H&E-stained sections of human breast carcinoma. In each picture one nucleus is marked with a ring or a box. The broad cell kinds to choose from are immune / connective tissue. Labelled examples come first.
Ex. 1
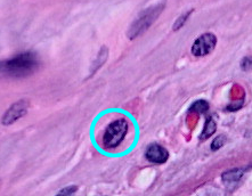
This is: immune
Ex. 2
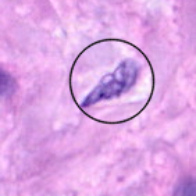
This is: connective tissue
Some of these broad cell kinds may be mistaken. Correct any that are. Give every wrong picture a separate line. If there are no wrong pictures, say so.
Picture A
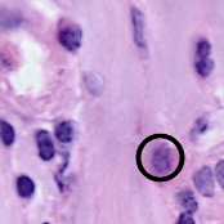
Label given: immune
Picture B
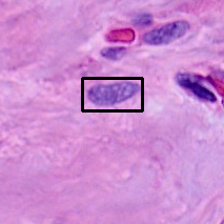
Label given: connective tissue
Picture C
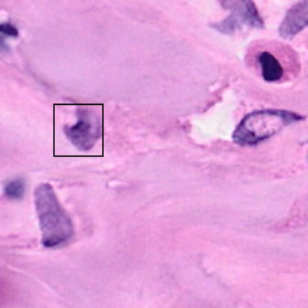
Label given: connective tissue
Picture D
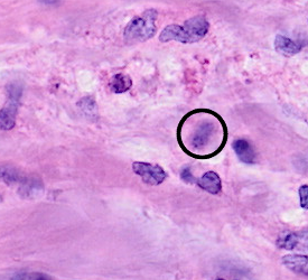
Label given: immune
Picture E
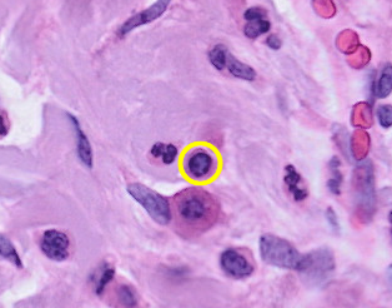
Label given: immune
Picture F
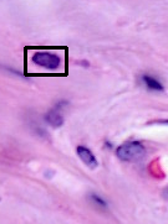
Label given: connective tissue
F should be immune, not connective tissue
